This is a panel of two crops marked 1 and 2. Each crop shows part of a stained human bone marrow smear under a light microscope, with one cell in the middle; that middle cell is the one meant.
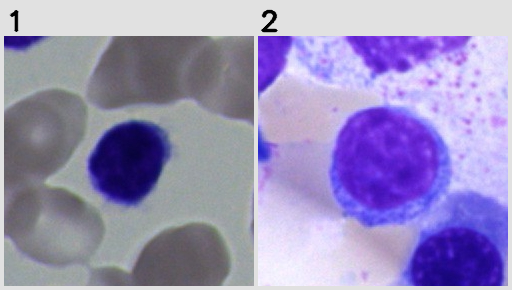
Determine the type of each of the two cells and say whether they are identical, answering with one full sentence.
Yes, the cells placed at the centre of both crops are lymphocytes.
